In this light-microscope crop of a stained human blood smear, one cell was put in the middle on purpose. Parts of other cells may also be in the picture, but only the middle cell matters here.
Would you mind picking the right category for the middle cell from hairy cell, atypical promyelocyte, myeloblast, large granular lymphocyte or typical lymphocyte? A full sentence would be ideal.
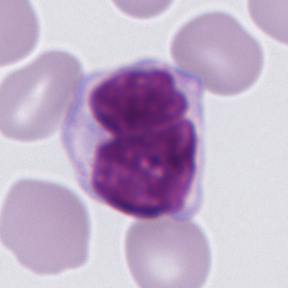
The centrally located cell in the crop is a large granular lymphocyte.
